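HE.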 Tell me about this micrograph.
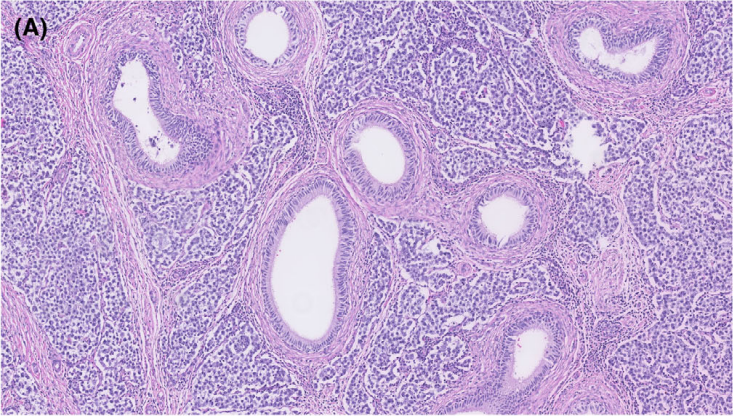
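Between several round and oval ducts lie sheets of uniform tumour cells with pale or clear cytoplasm and round central nuclei, split into nests by thin fibrous strands. The ducts have open lumens lined by tall columnar epithelium and are each wrapped by a thin concentric band of smooth muscle and fibrous tissue. The tumour cells press up against and surround these ducts, filling the tissue between them. This is seminoma infiltrating the epididymis.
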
